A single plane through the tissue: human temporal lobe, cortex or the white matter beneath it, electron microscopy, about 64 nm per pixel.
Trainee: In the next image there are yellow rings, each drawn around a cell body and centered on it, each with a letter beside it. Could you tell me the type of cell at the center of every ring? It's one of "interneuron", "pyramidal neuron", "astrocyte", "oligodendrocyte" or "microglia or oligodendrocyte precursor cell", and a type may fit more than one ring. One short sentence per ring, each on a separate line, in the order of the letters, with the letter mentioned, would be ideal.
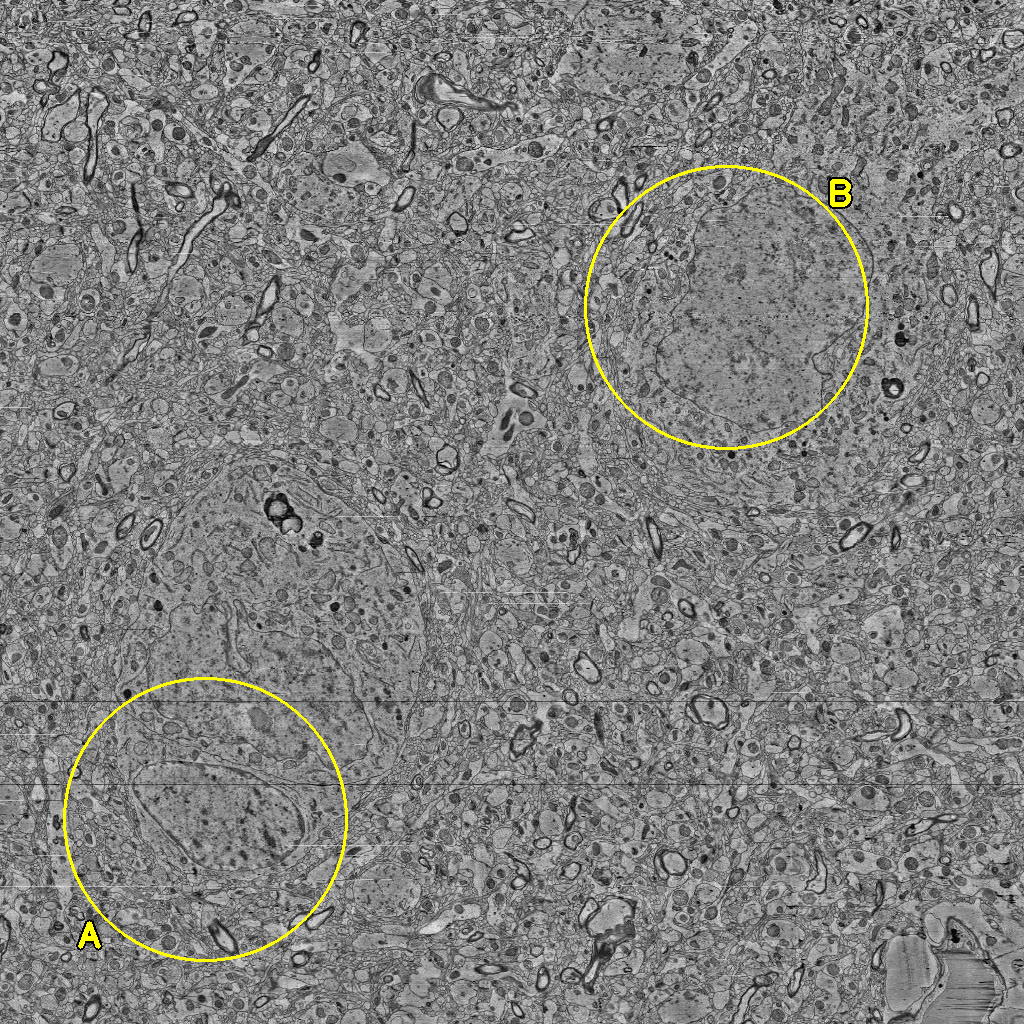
What ring A is centered on is a microglial cell or oligodendrocyte precursor cell.
What ring B is centered on is a pyramidal neuron.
